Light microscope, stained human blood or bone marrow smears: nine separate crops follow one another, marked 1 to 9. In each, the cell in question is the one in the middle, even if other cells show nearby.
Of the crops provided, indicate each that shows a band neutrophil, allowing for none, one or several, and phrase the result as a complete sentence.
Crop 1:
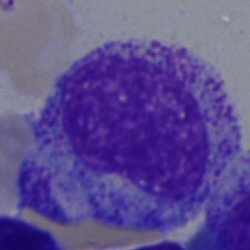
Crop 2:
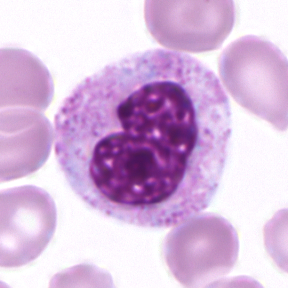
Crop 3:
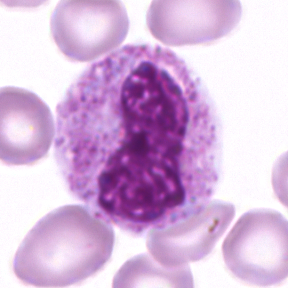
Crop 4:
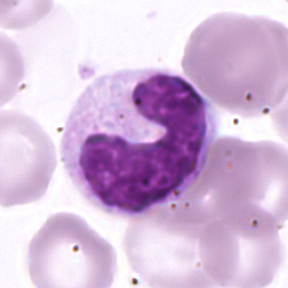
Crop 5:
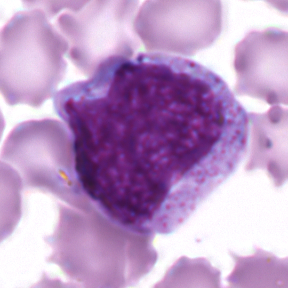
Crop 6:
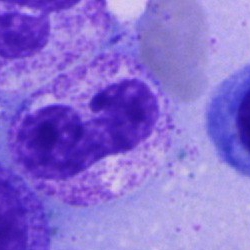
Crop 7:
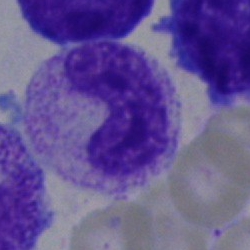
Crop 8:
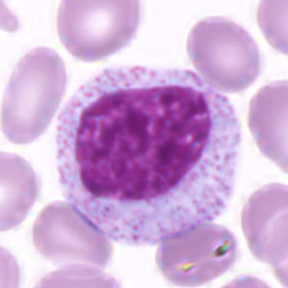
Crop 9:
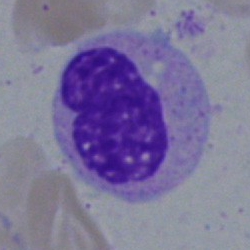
It is crops 2, 4, 6 and 7 that show band neutrophils.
